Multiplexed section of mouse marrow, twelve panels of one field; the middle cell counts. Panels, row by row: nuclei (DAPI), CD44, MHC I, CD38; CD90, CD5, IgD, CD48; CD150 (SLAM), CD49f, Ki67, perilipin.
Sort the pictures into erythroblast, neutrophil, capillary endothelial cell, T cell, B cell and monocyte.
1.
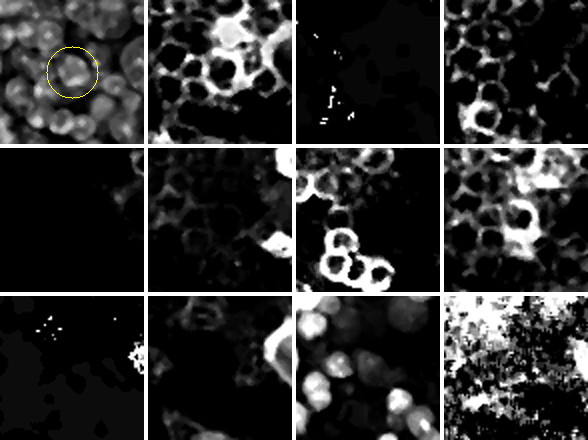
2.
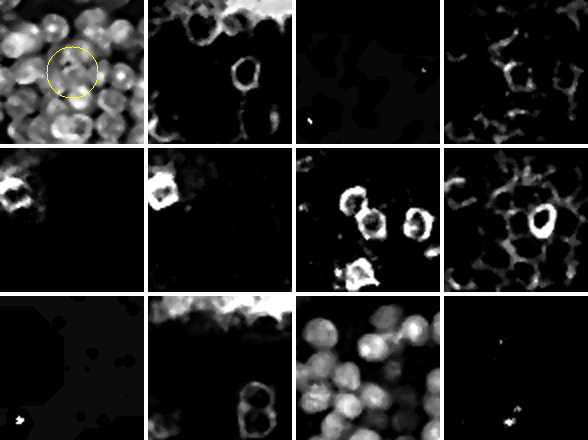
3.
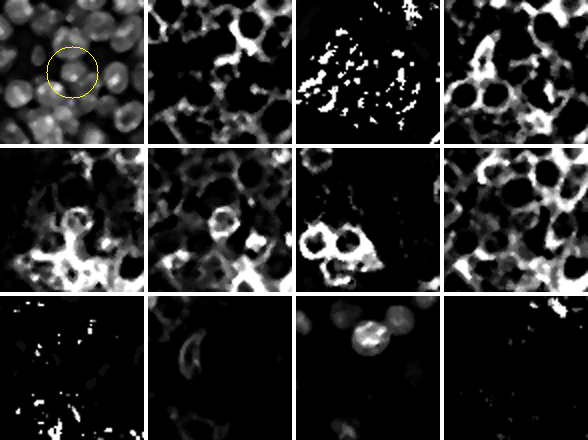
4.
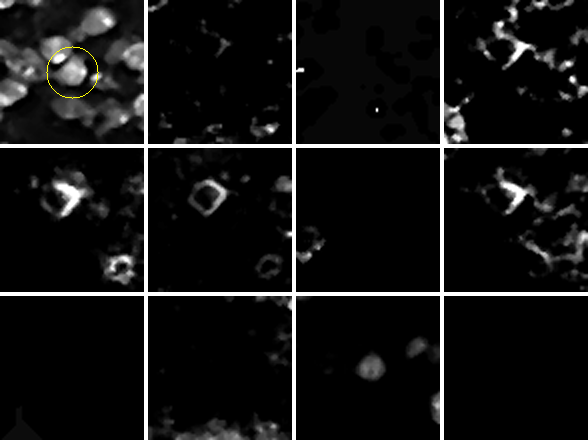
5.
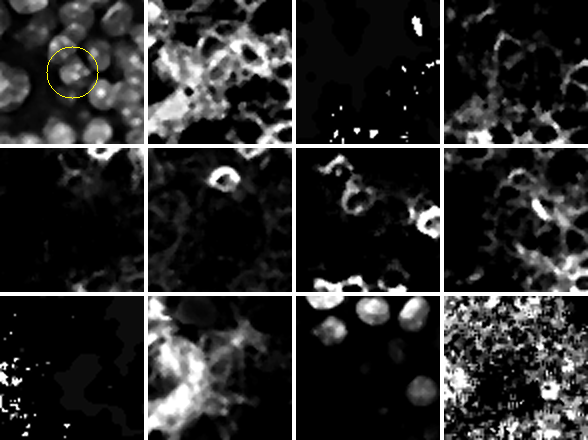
Monocytes: 1
B cells: 2
T cells: 3
Erythroblasts: 4
Neutrophils: 5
